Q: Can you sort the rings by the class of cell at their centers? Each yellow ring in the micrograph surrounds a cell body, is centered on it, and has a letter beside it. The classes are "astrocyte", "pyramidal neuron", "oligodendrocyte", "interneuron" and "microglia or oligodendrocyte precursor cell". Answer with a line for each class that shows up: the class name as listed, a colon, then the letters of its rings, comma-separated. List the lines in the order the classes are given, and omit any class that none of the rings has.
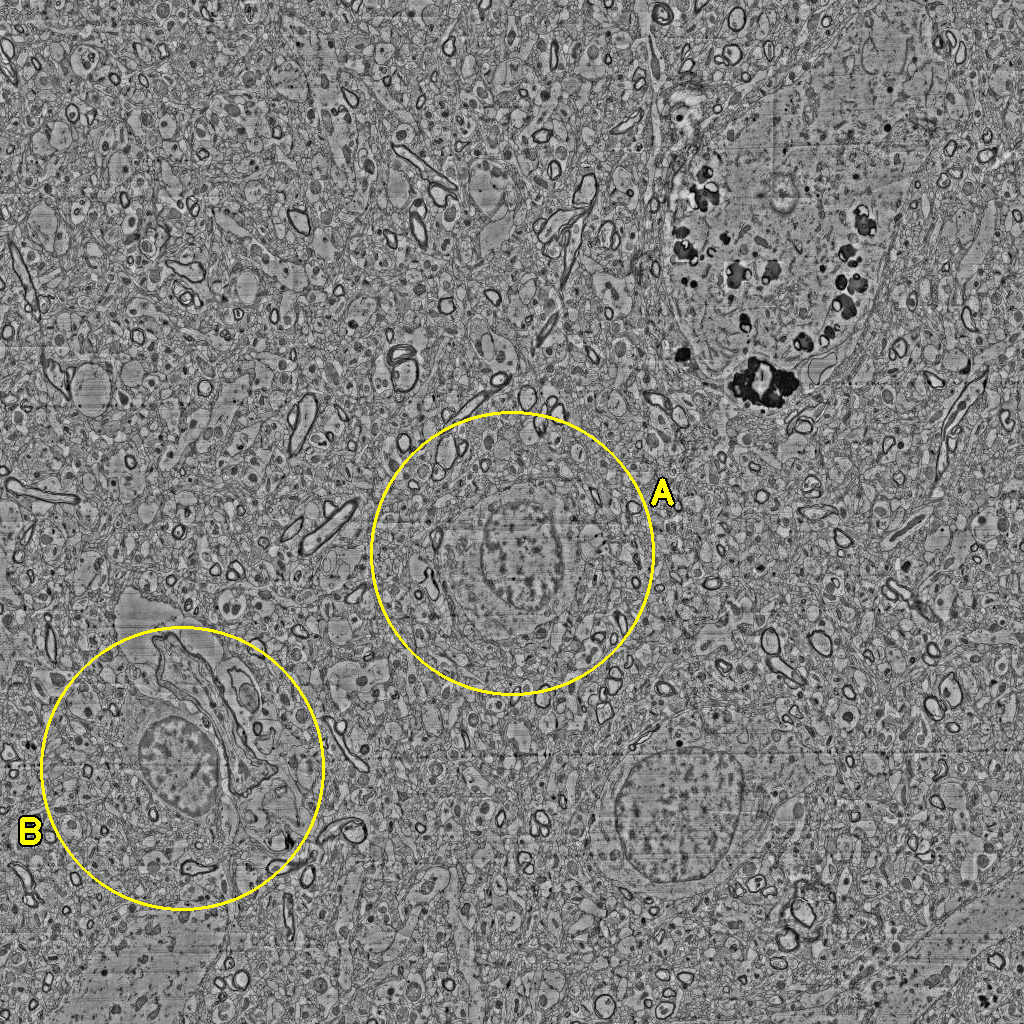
oligodendrocyte: B
interneuron: A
